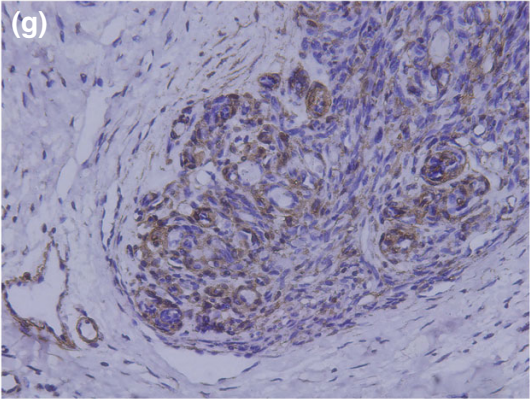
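A rounded cluster of small capillaries is seen, with brown stain forming rings in the cells that wrap around each small lumen, and blue counterstained nuclei throughout. Small vessel walls in the surrounding loose stroma are also ringed in brown. The stained cells lie around the vessels, encircling the endothelial lining.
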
